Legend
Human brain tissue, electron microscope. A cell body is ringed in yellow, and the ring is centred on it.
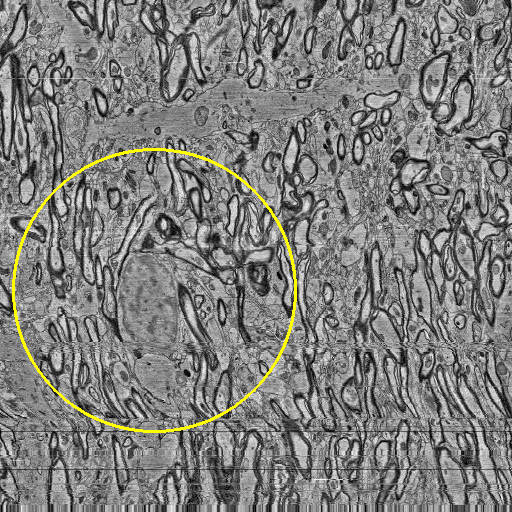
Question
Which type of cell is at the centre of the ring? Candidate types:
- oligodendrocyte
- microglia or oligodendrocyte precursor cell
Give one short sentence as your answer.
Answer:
The yellow ring is centred here on an oligodendrocyte.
